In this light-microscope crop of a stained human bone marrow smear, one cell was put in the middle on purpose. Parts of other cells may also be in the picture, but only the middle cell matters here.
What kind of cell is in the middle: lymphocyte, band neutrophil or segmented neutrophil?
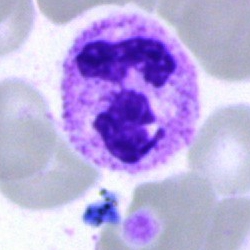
segmented neutrophil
